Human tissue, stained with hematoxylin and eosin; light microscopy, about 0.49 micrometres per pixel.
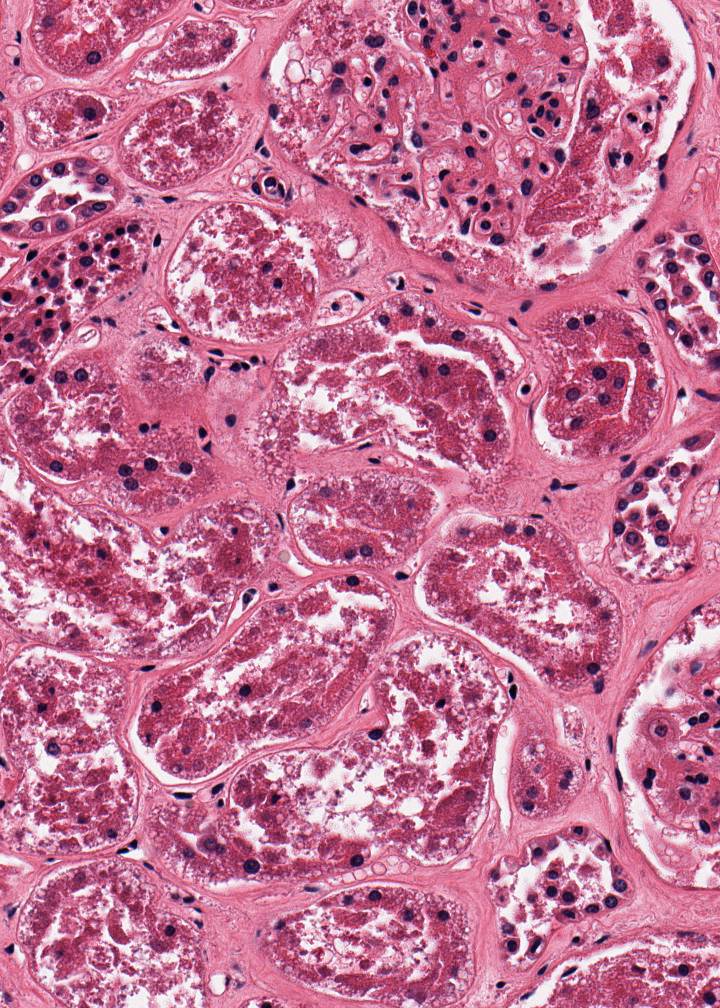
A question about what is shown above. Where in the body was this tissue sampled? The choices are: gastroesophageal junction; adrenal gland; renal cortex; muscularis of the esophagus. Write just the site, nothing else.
renal cortex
